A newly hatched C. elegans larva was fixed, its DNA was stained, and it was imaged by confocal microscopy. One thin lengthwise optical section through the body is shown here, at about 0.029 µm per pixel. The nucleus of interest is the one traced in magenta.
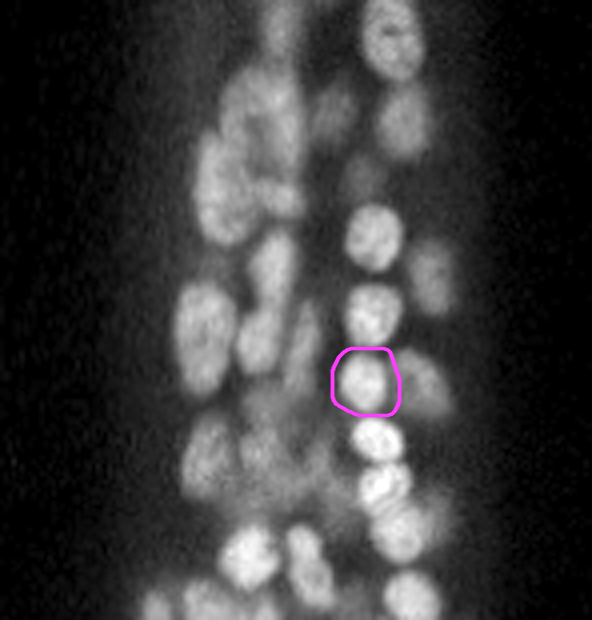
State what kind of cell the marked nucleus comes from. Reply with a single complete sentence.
The marked cell is a hypodermal cell (hyp).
